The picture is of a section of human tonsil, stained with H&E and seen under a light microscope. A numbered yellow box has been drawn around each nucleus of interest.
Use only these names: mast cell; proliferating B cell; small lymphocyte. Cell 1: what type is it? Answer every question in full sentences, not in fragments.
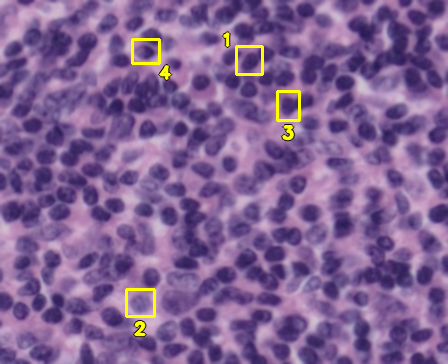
The cell numbered 1 has been identified as a small lymphocyte.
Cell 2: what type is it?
Cell 2 should be recorded as a proliferating B cell.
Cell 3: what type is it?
Cell 3, among those numbered, is a small lymphocyte.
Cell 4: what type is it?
The cell bearing label 4 corresponds to a small lymphocyte.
